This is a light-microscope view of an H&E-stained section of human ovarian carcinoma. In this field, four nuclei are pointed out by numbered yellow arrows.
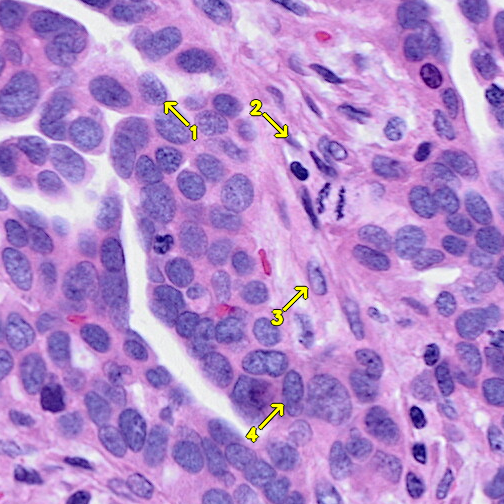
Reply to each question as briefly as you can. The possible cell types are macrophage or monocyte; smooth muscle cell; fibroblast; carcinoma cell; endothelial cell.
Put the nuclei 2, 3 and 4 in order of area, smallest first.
2, 3, 4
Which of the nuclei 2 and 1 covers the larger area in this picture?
1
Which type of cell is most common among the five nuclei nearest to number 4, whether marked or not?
carcinoma cell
